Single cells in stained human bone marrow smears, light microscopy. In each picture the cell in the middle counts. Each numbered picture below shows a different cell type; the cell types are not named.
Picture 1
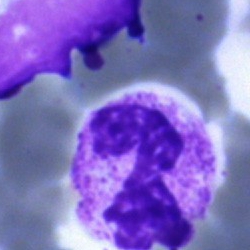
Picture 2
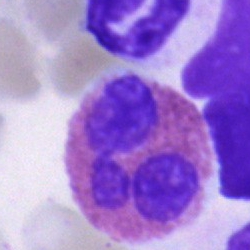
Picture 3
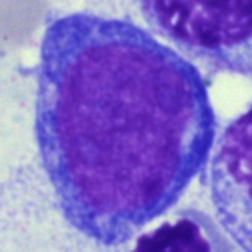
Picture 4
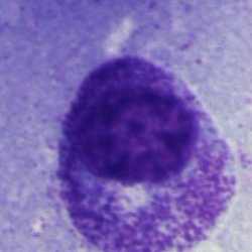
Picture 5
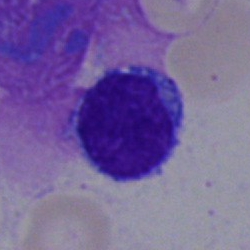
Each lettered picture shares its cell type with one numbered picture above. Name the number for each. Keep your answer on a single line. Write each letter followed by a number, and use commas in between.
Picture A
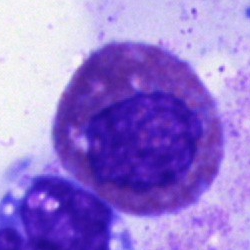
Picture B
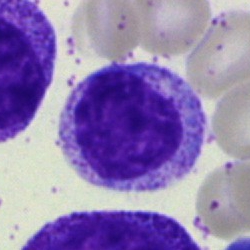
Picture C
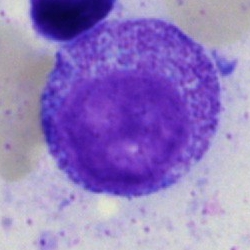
A 2, B 4, C 4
